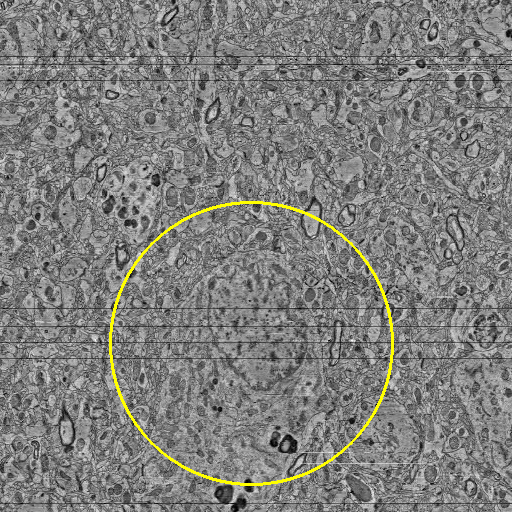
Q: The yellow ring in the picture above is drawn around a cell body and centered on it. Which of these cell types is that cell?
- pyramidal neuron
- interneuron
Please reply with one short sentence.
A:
The cell body at the ring's center belongs to an interneuron.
